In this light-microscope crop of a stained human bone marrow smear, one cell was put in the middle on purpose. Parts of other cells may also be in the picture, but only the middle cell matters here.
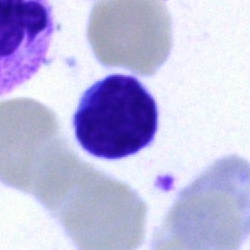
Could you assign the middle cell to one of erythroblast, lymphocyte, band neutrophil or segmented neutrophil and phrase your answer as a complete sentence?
In the centre of this crop there is a lymphocyte.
